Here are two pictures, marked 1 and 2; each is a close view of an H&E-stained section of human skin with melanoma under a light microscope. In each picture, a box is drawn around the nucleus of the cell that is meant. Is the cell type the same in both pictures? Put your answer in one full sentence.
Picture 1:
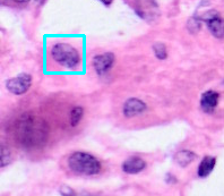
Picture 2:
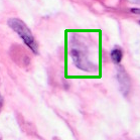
No. Picture 1 shows a “macrophage or monocyte”, but picture 2 shows a “fibroblast or myofibroblast”.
